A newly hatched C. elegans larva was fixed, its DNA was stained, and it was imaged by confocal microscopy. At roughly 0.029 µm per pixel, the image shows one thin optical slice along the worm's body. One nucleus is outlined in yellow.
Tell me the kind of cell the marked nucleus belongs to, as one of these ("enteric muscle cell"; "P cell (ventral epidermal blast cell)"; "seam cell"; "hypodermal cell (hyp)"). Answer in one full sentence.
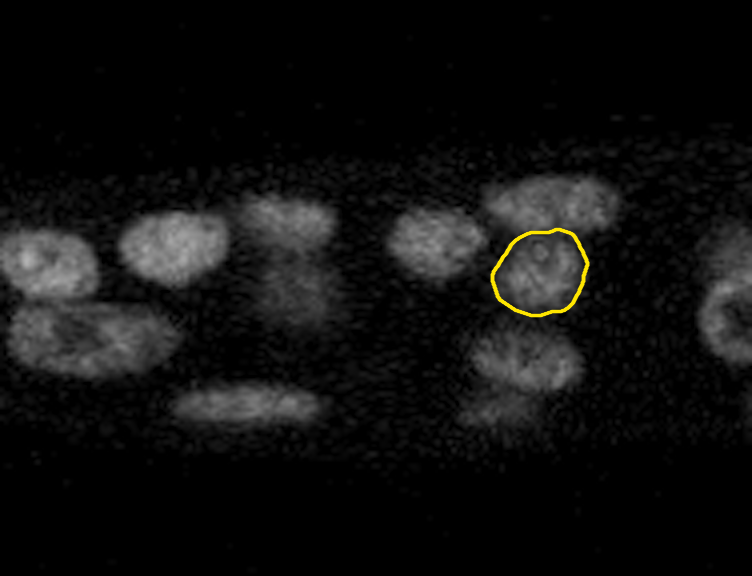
The nucleus comes from a seam cell.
